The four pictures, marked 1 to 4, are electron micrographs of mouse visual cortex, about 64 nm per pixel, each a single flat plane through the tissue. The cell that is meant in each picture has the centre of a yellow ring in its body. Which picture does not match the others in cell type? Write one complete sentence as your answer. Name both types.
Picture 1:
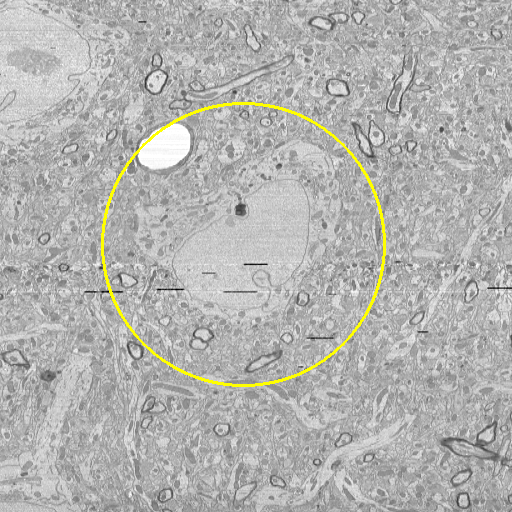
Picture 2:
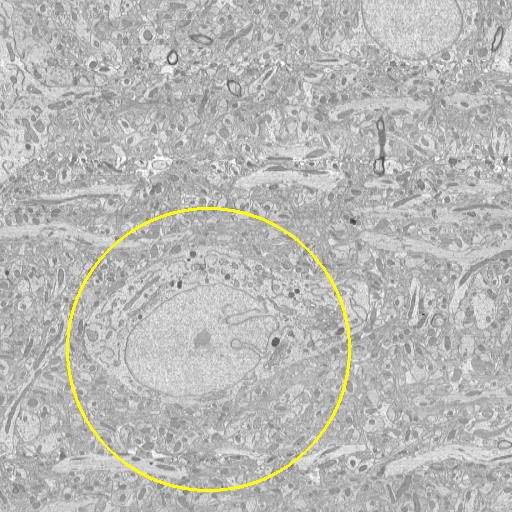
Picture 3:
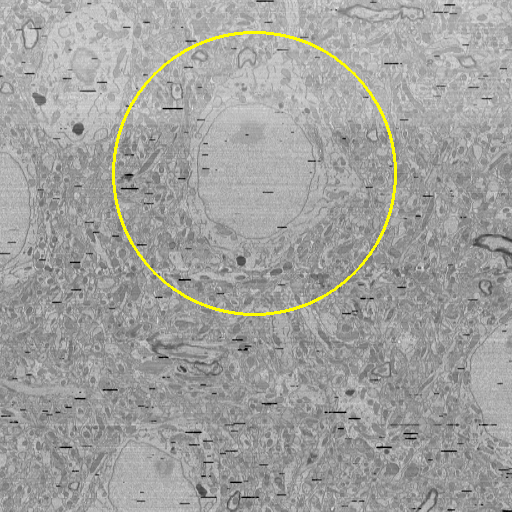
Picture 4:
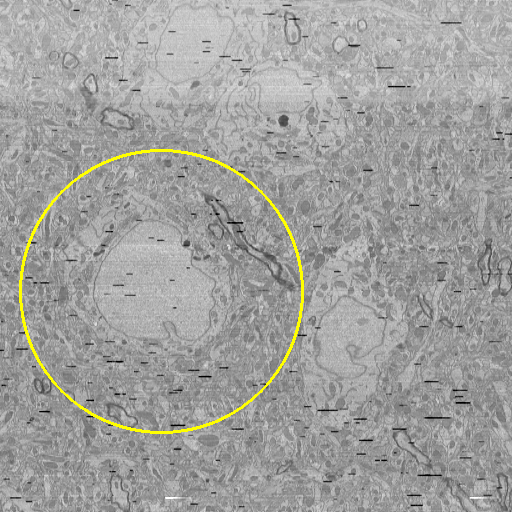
Unlike the rest, which show excitatory neurons, picture 2 shows an inhibitory neuron.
